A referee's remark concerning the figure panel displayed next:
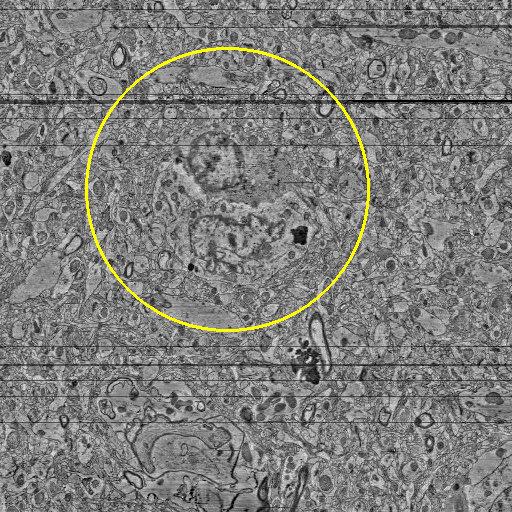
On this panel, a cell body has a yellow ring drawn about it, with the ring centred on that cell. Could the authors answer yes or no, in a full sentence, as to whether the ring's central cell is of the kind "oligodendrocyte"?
Yes, the cell sitting at the middle of the ring on this panel belongs to that kind.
